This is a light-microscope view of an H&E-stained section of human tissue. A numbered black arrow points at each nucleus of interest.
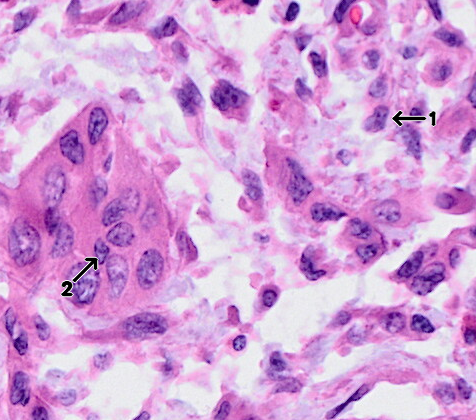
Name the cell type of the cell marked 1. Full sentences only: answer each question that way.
Identified by the number 1, the cell is a macrophage or monocyte.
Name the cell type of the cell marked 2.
Corresponding to a squamous carcinoma cell is the cell labelled 2.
